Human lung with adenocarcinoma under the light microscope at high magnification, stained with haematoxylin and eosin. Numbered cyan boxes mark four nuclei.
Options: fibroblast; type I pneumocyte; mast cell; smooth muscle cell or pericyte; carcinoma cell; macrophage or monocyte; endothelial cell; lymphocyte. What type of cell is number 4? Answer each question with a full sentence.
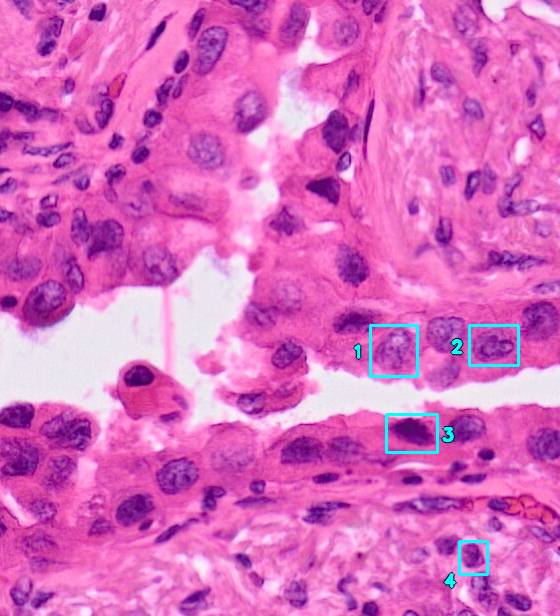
The cell given label 4 is a lymphocyte.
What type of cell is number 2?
The cell to which the number 2 is assigned is a carcinoma cell.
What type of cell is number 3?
As for number 3, that cell is a carcinoma cell.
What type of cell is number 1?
The nucleus labeled 1 belongs to a carcinoma cell.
